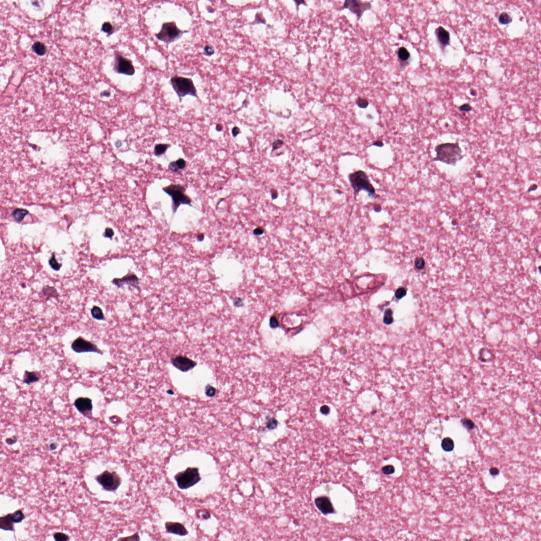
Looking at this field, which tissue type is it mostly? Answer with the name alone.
cerebral cortex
